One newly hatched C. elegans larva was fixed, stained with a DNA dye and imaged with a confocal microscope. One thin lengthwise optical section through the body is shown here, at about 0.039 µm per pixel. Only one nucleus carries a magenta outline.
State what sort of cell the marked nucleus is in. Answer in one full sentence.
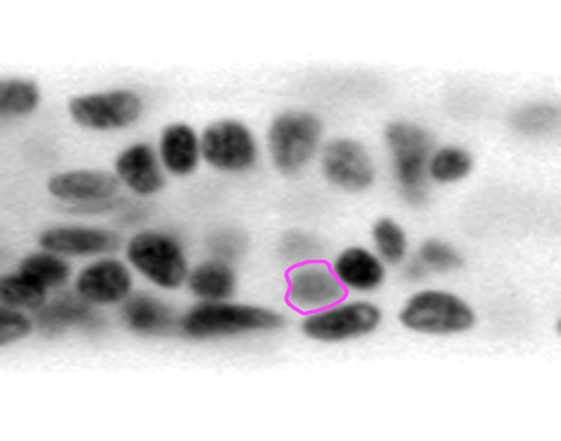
The marked nucleus is that of a pharyngeal marginal cell.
